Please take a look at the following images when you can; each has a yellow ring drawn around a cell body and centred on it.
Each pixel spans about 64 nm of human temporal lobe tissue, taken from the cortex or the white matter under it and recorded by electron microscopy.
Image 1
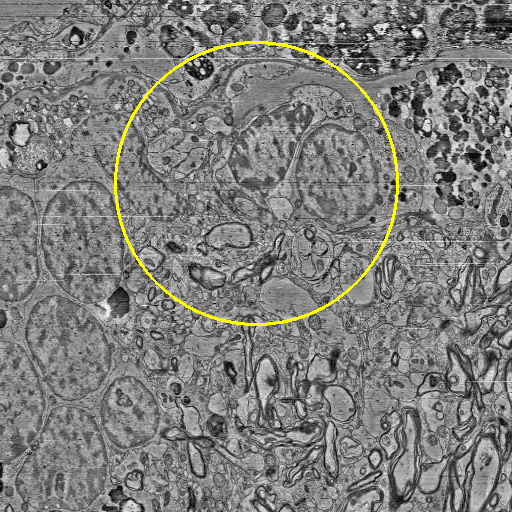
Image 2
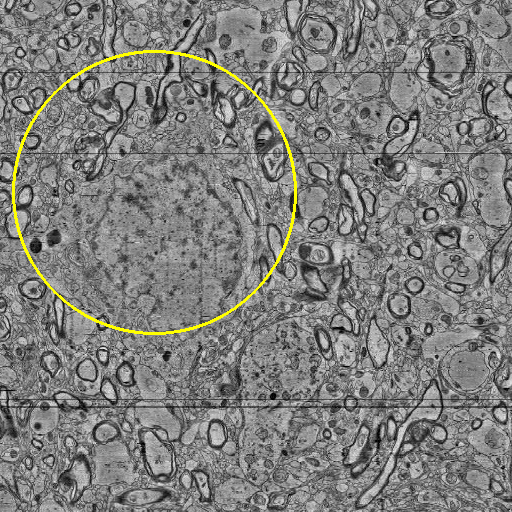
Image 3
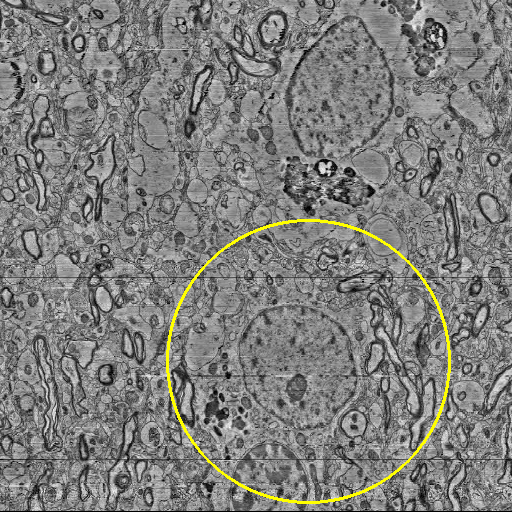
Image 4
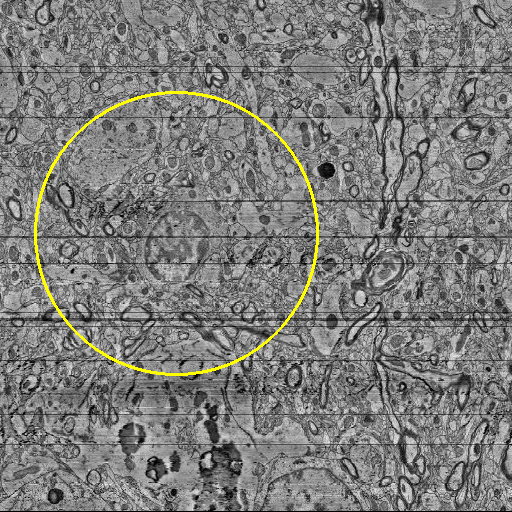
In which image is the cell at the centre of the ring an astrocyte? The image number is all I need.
3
